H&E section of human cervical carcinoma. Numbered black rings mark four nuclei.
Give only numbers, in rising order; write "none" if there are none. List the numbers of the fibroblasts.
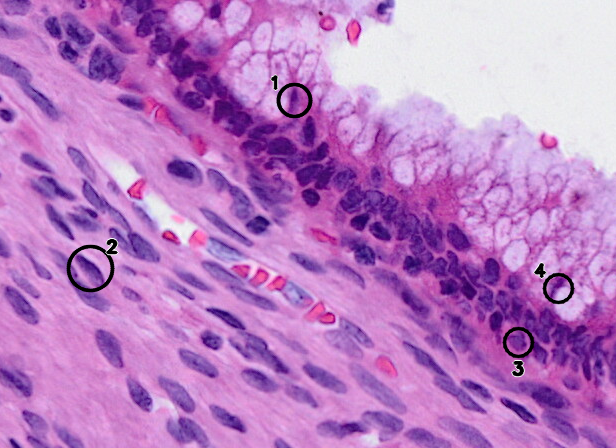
2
